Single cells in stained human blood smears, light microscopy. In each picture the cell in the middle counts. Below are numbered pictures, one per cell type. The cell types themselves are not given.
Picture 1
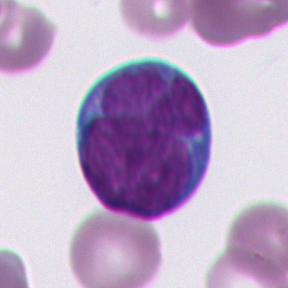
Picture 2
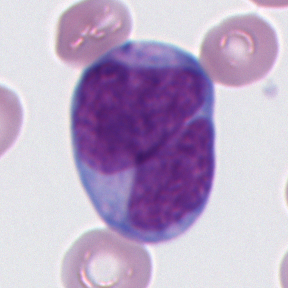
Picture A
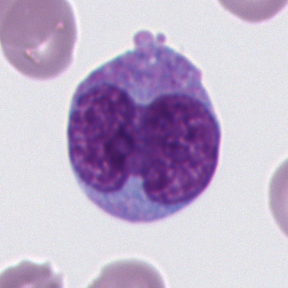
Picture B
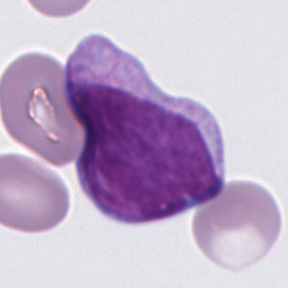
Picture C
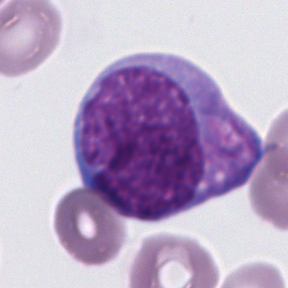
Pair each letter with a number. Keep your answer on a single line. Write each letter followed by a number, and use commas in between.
A 2, B 2, C 2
